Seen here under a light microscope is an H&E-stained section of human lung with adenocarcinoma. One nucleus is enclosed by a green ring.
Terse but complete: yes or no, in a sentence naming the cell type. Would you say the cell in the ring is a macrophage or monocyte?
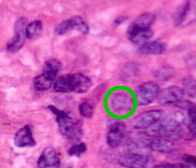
No, sorry, but the cell in the ring is a ciliated epithelial cell and not a macrophage or monocyte.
